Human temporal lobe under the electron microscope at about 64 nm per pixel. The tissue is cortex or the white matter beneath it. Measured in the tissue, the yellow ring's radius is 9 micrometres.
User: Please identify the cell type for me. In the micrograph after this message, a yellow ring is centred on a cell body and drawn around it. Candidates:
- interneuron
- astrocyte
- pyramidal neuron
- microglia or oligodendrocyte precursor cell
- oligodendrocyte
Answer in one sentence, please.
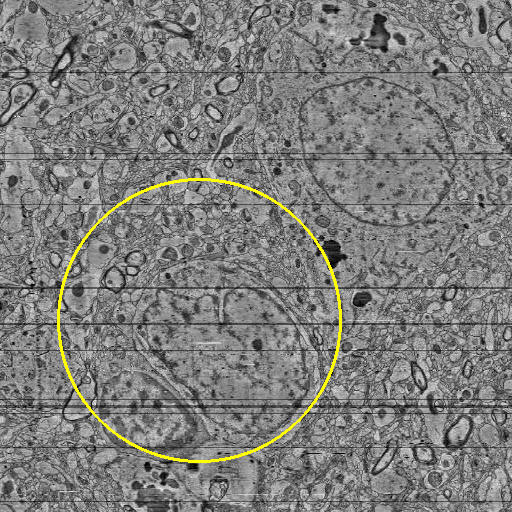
The ring is drawn around the cell body of an interneuron.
